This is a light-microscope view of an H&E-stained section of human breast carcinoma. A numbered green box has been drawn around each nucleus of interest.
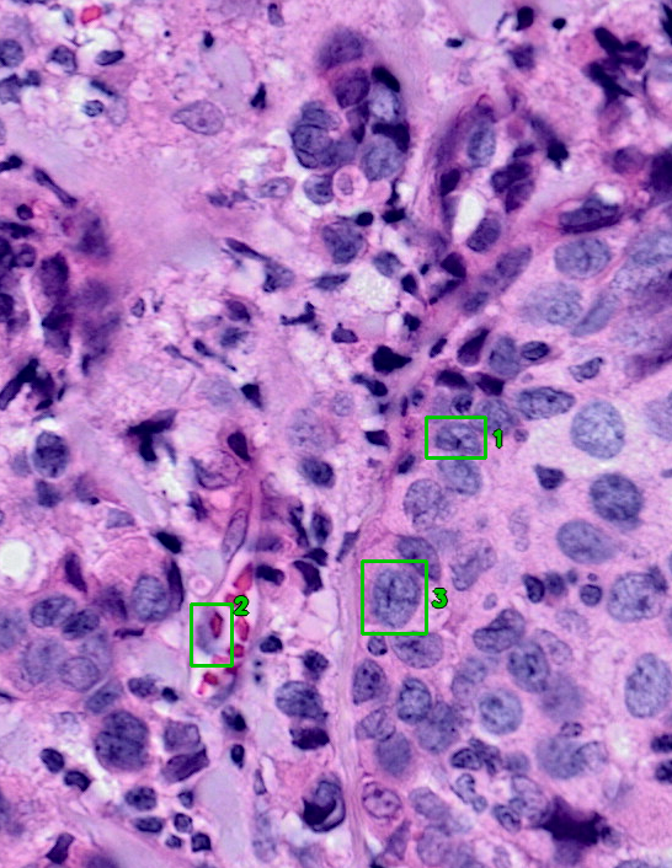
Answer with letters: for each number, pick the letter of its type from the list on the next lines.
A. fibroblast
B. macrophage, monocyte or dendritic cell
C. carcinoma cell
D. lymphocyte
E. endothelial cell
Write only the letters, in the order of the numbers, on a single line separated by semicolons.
C; E; C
